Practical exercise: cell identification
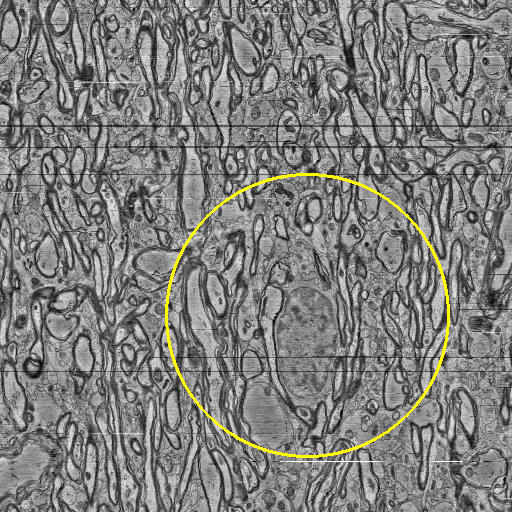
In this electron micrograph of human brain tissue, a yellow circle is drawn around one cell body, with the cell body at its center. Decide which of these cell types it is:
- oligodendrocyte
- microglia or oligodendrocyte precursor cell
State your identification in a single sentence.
The ringed cell is an oligodendrocyte.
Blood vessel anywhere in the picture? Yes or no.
No, the picture includes no blood vessel.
